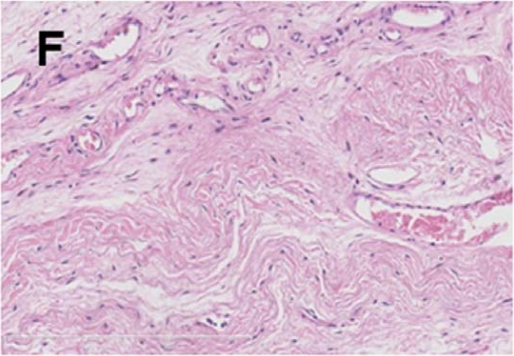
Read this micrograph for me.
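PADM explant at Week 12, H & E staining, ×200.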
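This section shows oriented bundles of collagenous connective tissue with newly formed blood vessels. Pale pink, wavy fibre bundles run in parallel across much of the field, with sparse elongated nuclei lying between them. In the upper part, several small vessels with open lumens lined by flattened cells are seen among the fibres. Inflammatory cells are few.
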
